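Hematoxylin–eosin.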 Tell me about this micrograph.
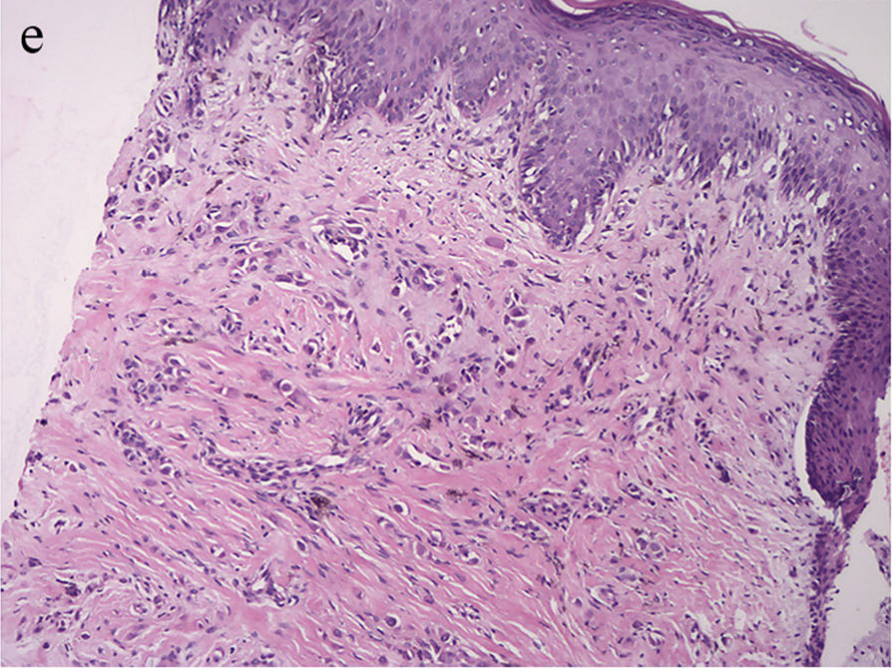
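This shows skin with a thickened epidermis above a cellular, fibrous dermis. The epidermis has many layers of keratinocytes and broad rete ridges that push down into the dermis. The superficial dermis contains many cells, including small clusters and cords of rounded cells and numerous elongated spindle-shaped cells. These cells lie between pink collagen fibres that are increased and run in irregular bundles. Scattered brown pigment is seen in the dermis.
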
